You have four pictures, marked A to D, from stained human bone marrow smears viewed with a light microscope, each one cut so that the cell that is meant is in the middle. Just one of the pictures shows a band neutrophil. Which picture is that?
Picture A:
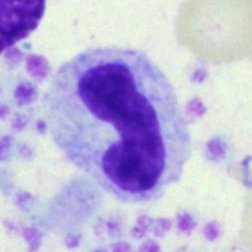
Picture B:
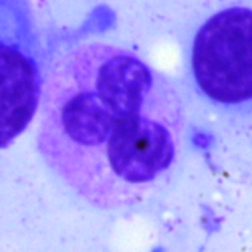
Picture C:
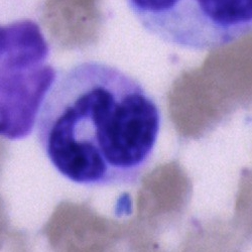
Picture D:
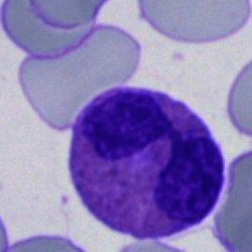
A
